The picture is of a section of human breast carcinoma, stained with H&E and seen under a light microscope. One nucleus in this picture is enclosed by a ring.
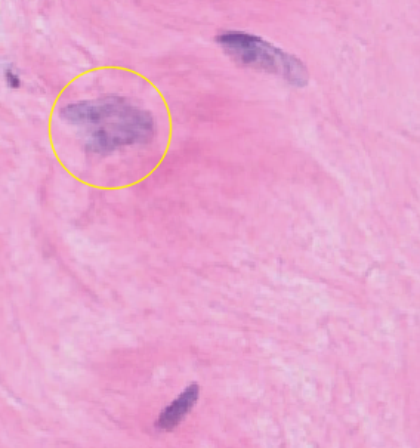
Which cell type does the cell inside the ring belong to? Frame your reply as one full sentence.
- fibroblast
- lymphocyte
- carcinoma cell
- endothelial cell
In the tissue at hand, the cell inside the ring is a fibroblast.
